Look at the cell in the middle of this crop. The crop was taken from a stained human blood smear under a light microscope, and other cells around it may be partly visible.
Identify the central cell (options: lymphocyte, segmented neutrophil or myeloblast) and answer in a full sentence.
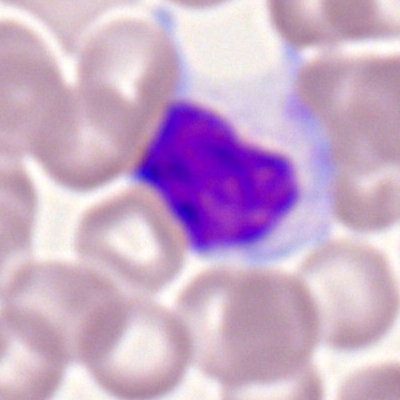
The cell centred in this crop is categorized as a lymphocyte.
